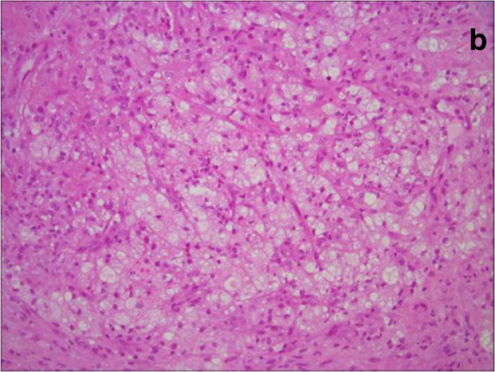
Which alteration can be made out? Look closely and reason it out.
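Xanthogranulomatous inflammation. Sheets of cells with abundant pale, bubbly, vacuolated cytoplasm. Small dark nuclei scattered among the pale cells. Pink fibrous strands with elongated nuclei run between the pale cells.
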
